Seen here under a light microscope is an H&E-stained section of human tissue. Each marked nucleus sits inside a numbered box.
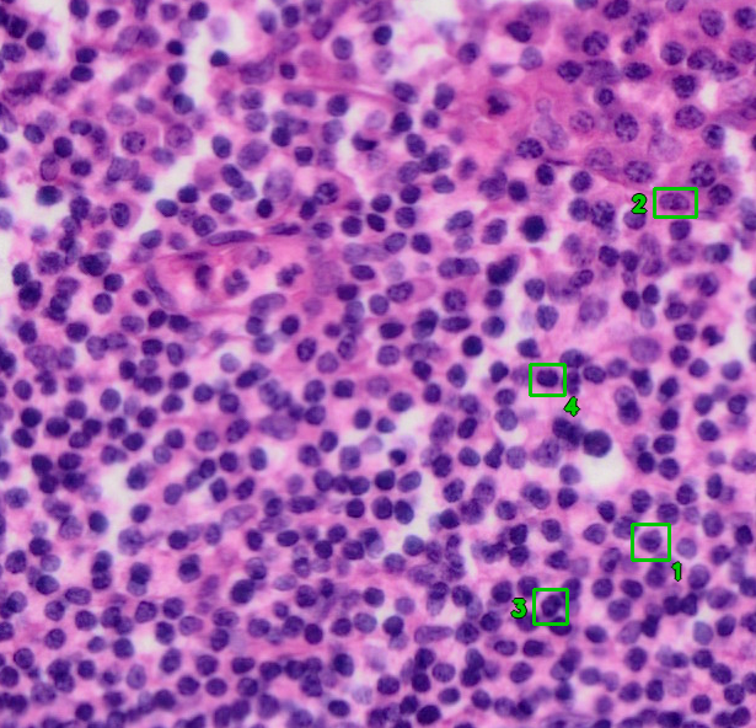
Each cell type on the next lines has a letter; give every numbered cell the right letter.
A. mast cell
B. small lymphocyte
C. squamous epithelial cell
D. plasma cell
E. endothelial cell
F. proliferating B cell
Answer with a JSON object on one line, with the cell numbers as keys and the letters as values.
{"1": "B", "2": "D", "3": "B", "4": "B"}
